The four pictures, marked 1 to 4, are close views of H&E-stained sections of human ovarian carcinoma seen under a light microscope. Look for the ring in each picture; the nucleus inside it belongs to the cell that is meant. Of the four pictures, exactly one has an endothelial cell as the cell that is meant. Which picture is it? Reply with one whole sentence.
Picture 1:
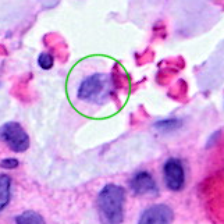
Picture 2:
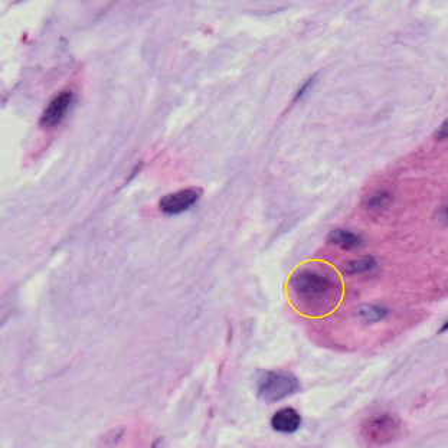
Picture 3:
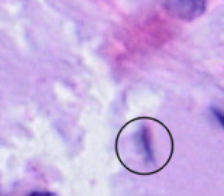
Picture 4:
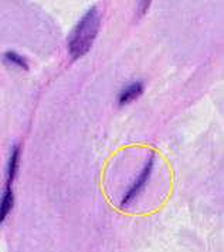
The cell in picture 1 is the endothelial cell.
